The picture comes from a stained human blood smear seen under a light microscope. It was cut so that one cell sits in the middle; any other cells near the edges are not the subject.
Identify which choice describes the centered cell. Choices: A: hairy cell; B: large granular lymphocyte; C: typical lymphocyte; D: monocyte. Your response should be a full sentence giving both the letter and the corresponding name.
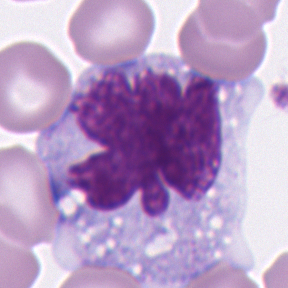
Of the choices given, option D is right, as the central cell is a monocyte.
